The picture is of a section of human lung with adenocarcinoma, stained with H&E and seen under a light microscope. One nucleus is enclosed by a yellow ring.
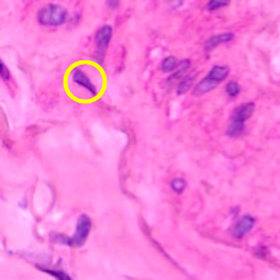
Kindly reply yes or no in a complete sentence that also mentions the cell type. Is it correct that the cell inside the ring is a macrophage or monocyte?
No, the cell inside the ring qualifies as a smooth muscle cell or pericyte and does not qualify as a macrophage or monocyte.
